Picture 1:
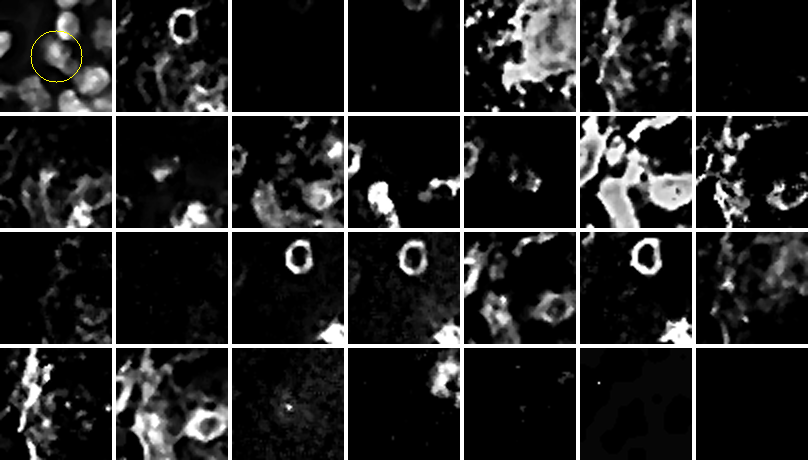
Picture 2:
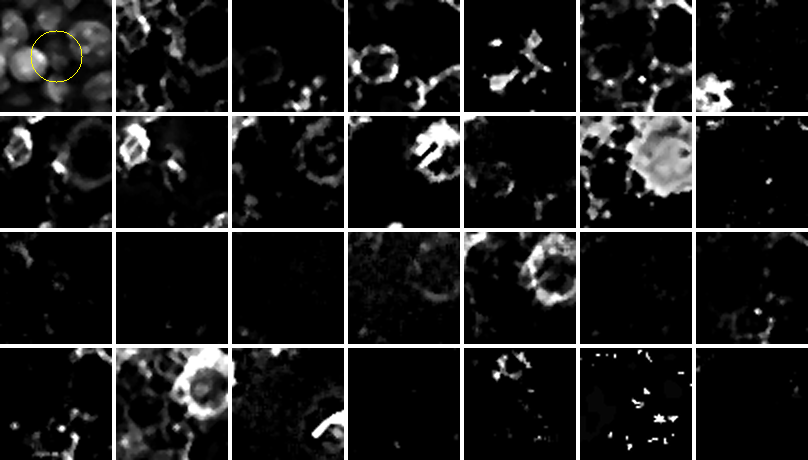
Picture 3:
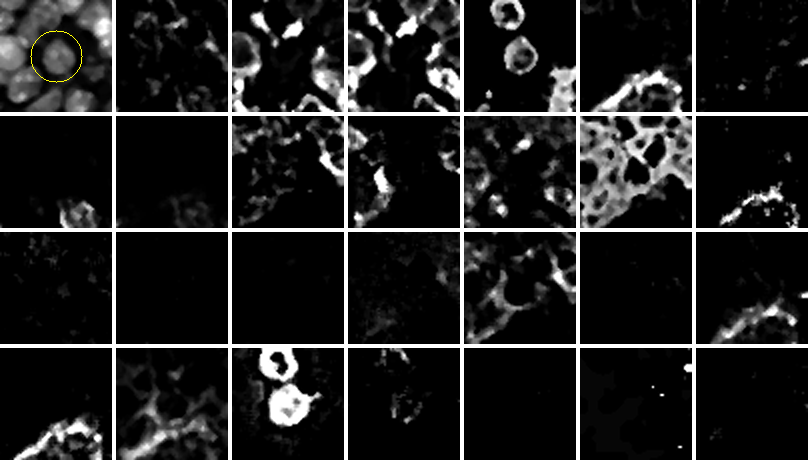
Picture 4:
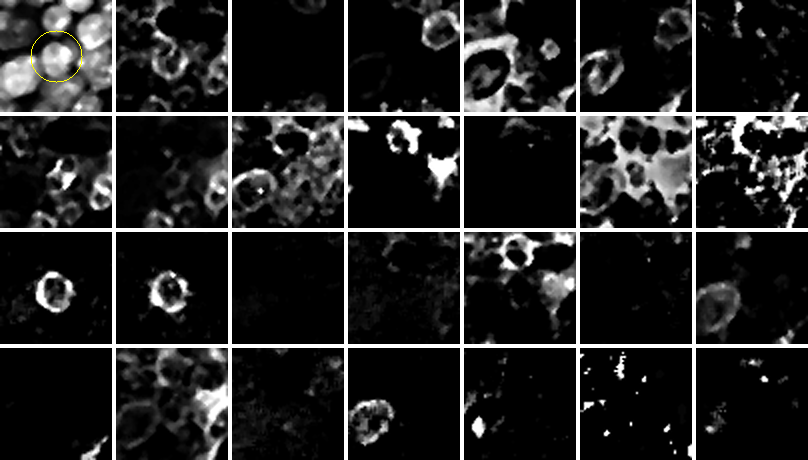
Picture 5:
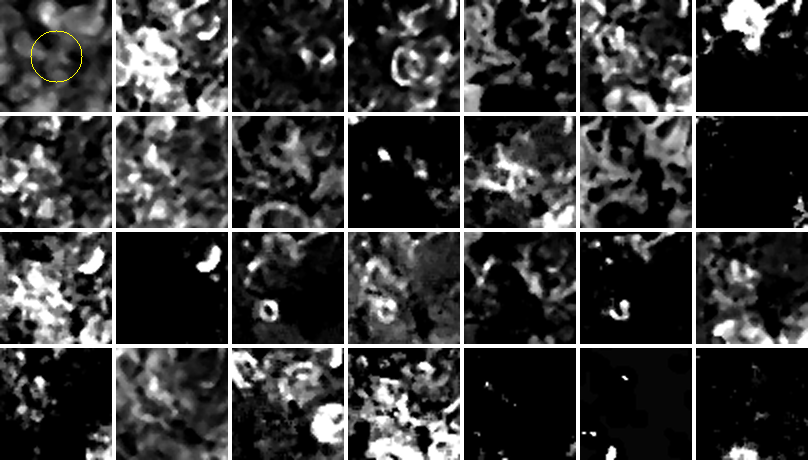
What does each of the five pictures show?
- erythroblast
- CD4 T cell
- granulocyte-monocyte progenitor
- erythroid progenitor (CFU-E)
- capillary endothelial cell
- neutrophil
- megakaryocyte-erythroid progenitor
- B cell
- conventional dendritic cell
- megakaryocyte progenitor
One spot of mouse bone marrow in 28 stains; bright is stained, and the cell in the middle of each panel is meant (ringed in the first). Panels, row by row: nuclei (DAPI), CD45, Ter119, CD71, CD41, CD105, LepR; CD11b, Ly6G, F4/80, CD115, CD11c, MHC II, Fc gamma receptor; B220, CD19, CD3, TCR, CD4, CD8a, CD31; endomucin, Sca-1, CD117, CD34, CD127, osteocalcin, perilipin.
Picture 1: capillary endothelial cell
Picture 2: neutrophil
Picture 3: megakaryocyte-erythroid progenitor
Picture 4: B cell
Picture 5: erythroid progenitor (CFU-E)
